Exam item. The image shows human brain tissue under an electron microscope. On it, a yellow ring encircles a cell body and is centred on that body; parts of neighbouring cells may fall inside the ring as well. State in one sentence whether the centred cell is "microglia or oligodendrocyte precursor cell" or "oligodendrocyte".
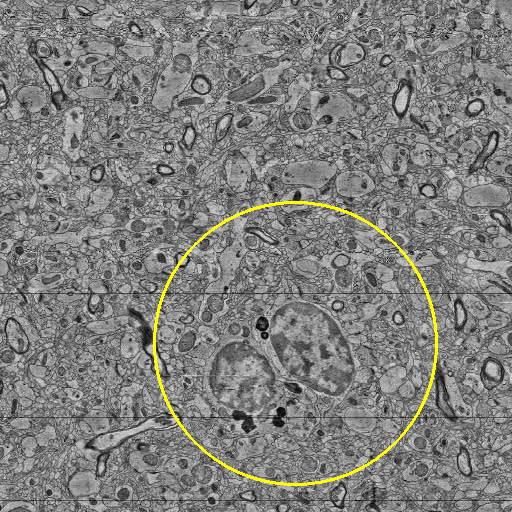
The cell body centred in the ring is a microglial cell or oligodendrocyte precursor cell.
